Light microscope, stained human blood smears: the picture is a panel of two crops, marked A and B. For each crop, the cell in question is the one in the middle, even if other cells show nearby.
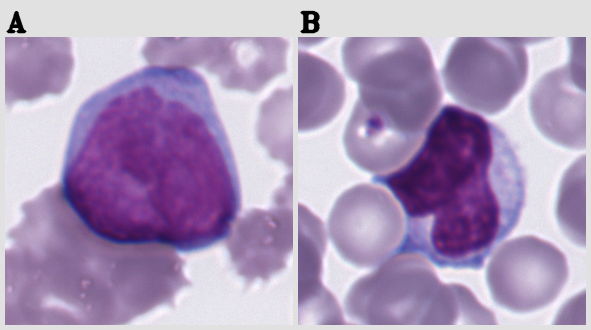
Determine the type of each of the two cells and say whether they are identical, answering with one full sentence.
No, crop A corresponds to a myeloblast, while crop B corresponds to a typical lymphocyte.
